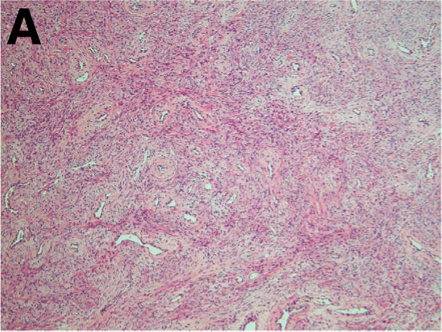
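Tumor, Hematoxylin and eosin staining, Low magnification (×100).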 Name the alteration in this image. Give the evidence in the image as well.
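Concentric perivascular proliferation. Numerous small vessels are scattered through the tissue. Cells are arranged in whorls around vessel lumens.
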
